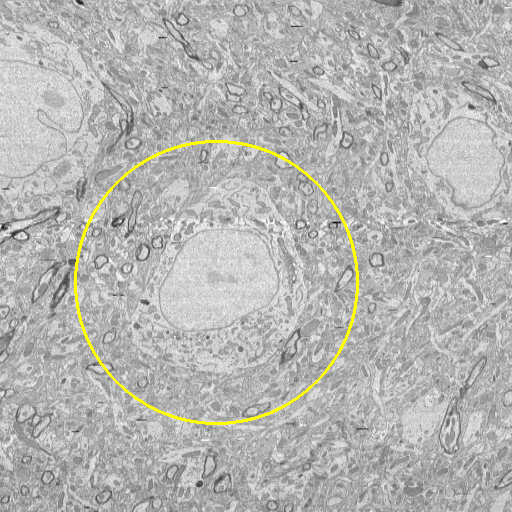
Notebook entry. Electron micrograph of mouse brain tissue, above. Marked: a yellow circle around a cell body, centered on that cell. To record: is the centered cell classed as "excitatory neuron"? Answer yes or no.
No, the centered cell belongs to another kind.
